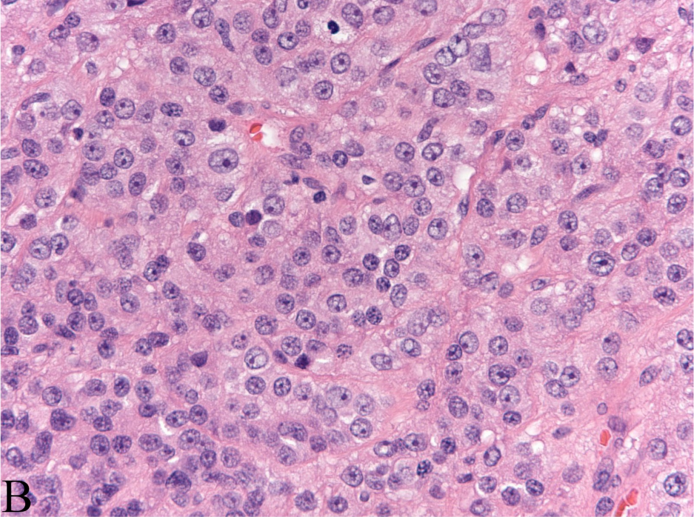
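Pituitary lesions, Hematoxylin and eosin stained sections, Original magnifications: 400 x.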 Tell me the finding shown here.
neuroendoctine neoplasm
